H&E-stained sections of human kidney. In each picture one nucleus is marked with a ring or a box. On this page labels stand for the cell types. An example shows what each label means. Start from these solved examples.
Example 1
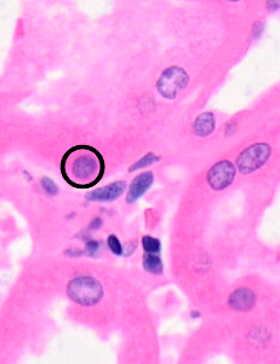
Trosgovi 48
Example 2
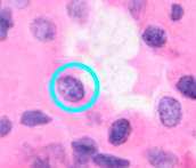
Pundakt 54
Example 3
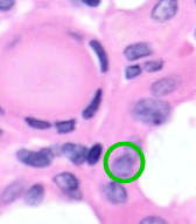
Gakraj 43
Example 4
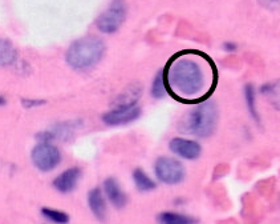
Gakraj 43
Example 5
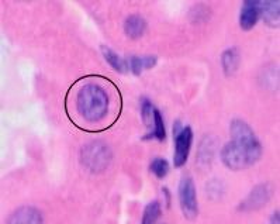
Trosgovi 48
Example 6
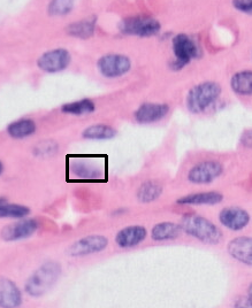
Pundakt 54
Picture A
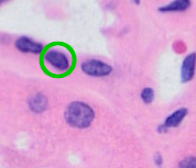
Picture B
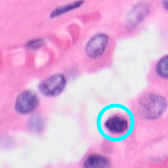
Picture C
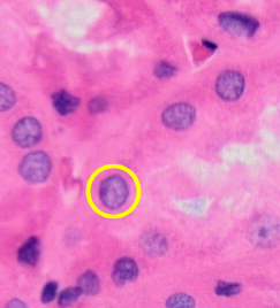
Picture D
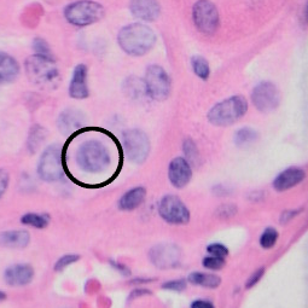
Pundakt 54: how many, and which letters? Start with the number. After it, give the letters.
1: B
